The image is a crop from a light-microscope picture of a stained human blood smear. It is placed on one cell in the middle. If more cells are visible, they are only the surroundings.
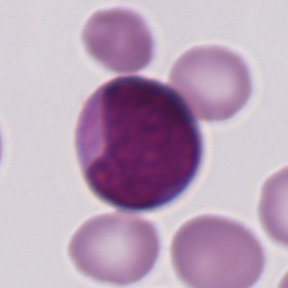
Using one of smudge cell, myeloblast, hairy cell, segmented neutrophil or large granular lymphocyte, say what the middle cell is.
myeloblast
